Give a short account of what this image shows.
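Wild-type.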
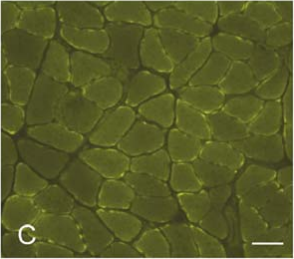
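Cross section of skeletal muscle with tightly packed polygonal muscle fibres of varied size. The fibre interiors show a moderate yellow-green fluorescence, while a thin brighter rim outlines each fibre at its sarcolemma. Narrow dark spaces separate neighbouring fibres.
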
